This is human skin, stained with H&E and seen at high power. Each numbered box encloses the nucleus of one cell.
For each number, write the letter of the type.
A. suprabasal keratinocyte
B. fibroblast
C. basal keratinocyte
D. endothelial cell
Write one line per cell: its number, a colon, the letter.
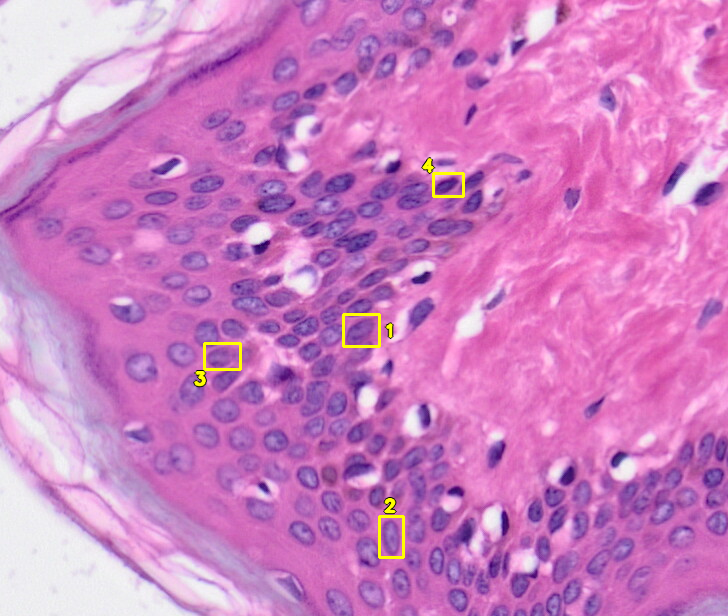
1: C
2: A
3: C
4: C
